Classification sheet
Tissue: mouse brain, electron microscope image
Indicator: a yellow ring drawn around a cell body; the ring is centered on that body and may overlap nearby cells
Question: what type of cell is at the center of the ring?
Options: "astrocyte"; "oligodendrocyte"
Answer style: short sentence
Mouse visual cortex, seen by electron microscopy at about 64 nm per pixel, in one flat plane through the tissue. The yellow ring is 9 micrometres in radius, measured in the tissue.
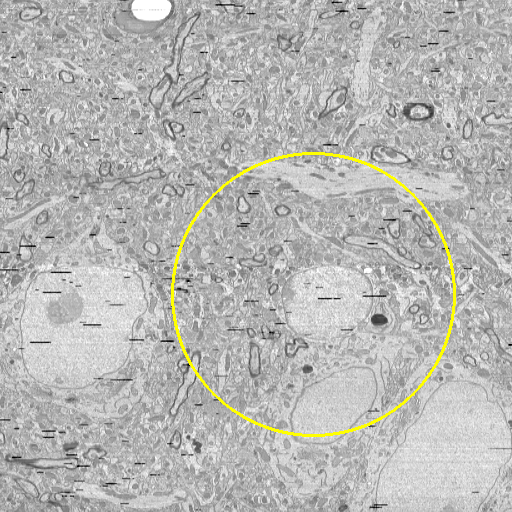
At the ring's center is an astrocyte.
